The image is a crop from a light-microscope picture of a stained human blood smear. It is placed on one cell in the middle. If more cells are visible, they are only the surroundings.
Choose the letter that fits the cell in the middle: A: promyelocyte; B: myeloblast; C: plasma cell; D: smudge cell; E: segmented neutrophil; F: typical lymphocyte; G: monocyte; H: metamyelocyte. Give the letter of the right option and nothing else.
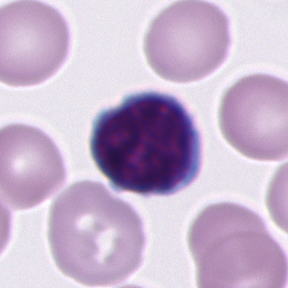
F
